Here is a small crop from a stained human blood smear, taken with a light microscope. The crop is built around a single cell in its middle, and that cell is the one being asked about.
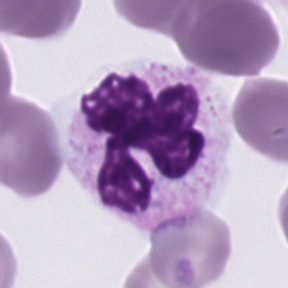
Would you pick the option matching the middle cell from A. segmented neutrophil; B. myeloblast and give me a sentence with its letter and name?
The cell in the centre of the crop is a segmented neutrophil, so option A is the correct one.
